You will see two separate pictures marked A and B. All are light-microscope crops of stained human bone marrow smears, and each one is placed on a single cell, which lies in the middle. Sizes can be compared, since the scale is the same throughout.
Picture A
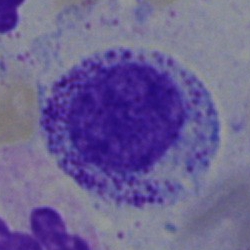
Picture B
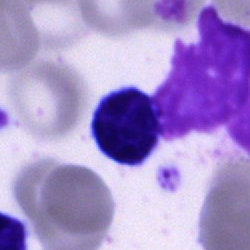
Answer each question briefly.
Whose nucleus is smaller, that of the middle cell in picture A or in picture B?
B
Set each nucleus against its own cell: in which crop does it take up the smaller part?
A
